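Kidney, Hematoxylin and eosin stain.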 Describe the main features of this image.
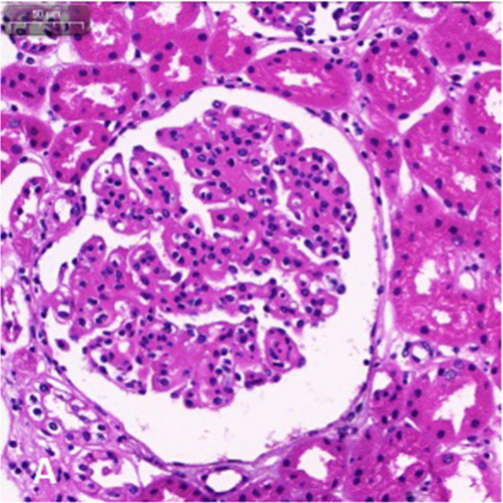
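Renal cortex with a glomerulus whose tuft is enlarged, lobulated and densely packed with mesangial and endothelial nuclei, leaving few open capillary lumina. The tuft lies within a wide clear Bowman's space, and is surrounded by renal tubules lined by cuboidal epithelial cells with granular pink cytoplasm. The interstitium between tubules is narrow, without fibrosis.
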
